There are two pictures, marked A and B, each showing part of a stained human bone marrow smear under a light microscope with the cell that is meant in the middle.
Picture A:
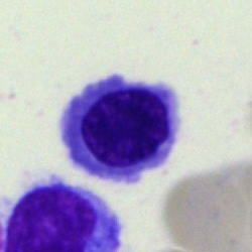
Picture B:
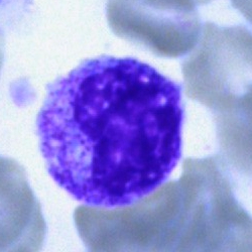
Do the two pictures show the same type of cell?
no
